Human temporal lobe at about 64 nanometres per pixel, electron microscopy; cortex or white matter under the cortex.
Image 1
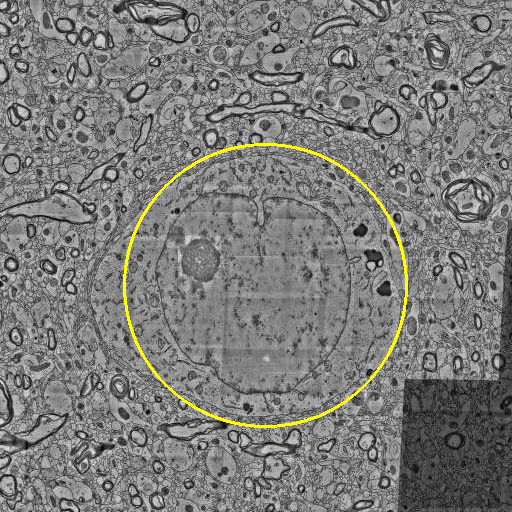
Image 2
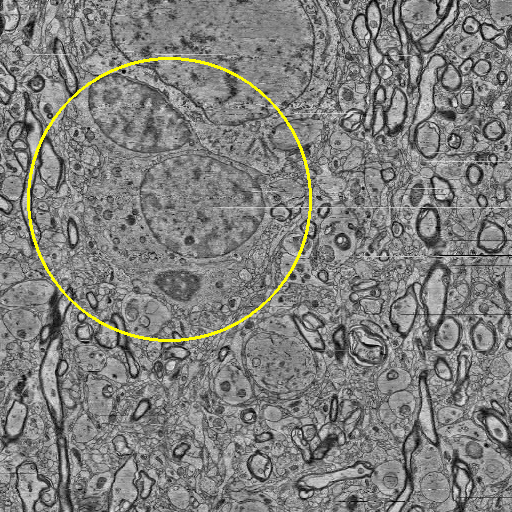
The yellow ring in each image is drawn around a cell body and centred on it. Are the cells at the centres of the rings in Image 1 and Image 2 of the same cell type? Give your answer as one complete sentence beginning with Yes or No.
No, the two cells are of two separate types.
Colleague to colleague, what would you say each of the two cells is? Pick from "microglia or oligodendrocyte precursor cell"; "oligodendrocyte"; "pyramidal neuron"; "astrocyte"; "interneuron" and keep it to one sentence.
The cell in the first picture is a pyramidal neuron; the second picture's cell is an oligodendrocyte.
